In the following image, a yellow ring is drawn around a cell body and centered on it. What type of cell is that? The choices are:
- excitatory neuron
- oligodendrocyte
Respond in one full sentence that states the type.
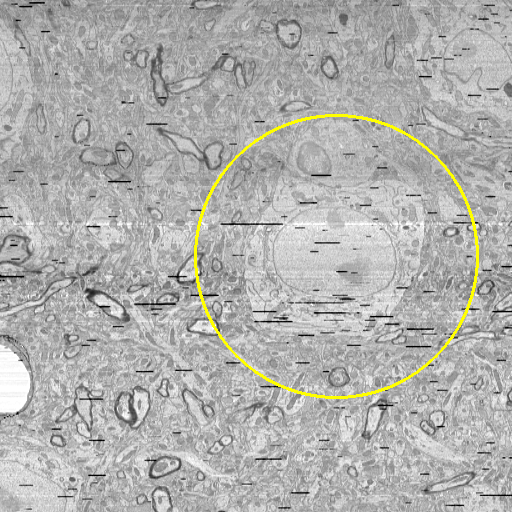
The cell at the center of the yellow ring in the image is an excitatory neuron.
